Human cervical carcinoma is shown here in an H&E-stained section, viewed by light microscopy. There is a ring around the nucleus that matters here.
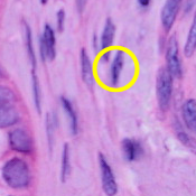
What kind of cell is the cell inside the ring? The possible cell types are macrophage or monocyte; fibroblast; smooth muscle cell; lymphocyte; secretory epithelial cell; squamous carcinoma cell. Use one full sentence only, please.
As classified here, the cell inside the ring is a fibroblast.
